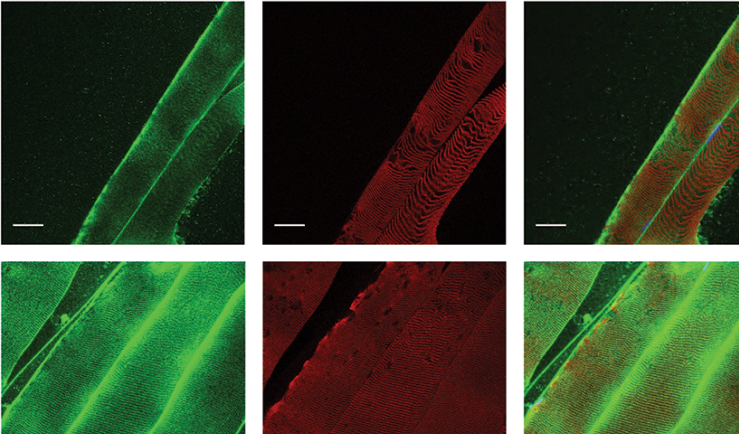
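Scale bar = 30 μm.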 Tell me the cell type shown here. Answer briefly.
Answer: myofibers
